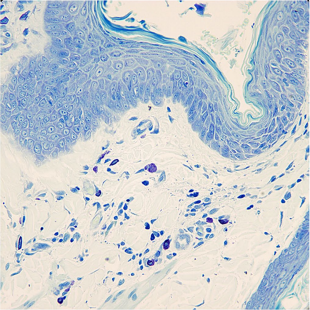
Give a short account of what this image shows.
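This is skin, with a thick, many-layered epidermis of keratinocytes stained blue along the top and a pale, loose dermis below it. The epidermis here has many rows of cells with round nuclei, and it dips deeply into the dermis. In the dermis just beneath it lie many cells: spindle-shaped blue cells between the pale collagen fibres, and scattered round to oval cells stained purple, which are mast cells. The dermis here is crowded with cells compared with a quiet, sparsely cellular dermis.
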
